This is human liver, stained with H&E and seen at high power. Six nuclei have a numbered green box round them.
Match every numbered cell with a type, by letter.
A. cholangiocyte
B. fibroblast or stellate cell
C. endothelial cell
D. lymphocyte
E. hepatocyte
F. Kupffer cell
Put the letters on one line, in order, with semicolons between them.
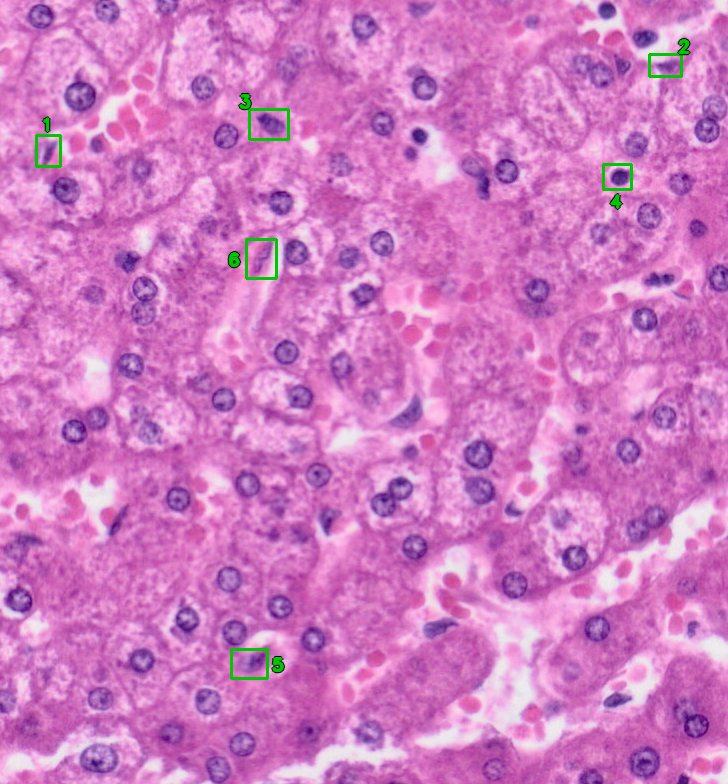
C; C; B; D; F; F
